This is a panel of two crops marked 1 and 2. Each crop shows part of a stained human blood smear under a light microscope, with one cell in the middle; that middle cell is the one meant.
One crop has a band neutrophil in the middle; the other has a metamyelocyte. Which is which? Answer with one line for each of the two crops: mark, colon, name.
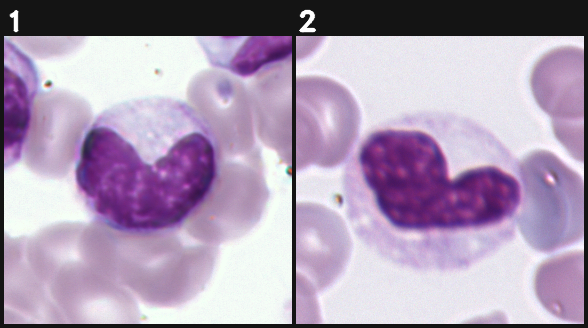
1: metamyelocyte
2: band neutrophil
